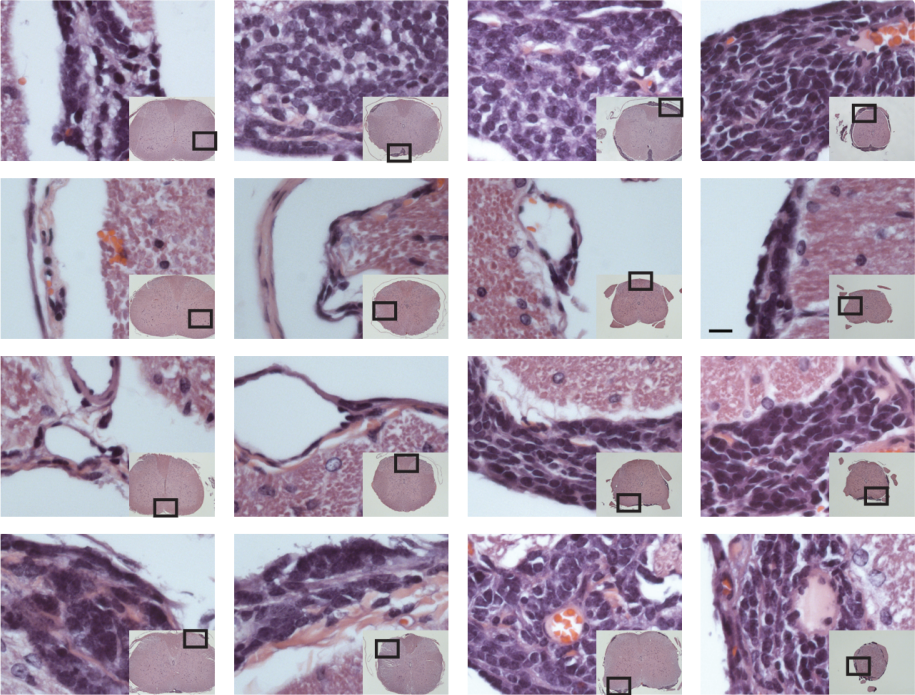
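The tumors form dense sheets of small, tightly packed cells. Their round to oval dark purple nuclei are crowded together and surrounded by little cytoplasm. The sheets sit against the outer surface of the cord, beside paler pink cord tissue that contains scattered small nuclei. Some images show only thin membranes made of flattened, elongated cells bordering the cord, with open clear spaces and no dense cell sheet. Small clusters of orange-red red blood cells appear within vessels in several images.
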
